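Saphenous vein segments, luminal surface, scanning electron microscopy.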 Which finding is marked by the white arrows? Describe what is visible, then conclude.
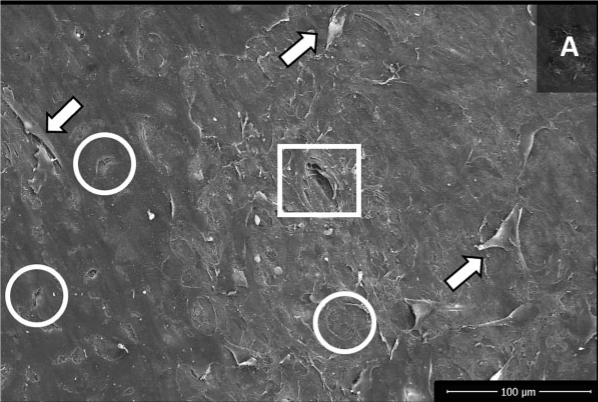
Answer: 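Loss and separation of endothelial cells. Flattened, elongated cells at the arrows have edges lifted and detached from the surface. Their margins are frayed and curled.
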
